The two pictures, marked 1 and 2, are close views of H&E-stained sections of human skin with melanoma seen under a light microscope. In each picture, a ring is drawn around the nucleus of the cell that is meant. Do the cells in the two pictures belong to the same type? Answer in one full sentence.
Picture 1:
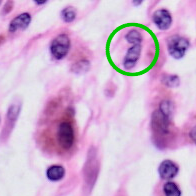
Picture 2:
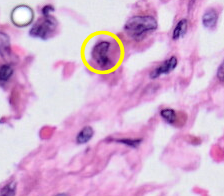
Yes, they are the same type: both are “macrophages or monocytes”.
